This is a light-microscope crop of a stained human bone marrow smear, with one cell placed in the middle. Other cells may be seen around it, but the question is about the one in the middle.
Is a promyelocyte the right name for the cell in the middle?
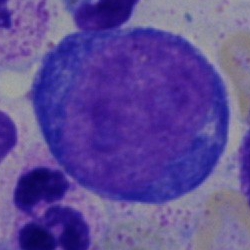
no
